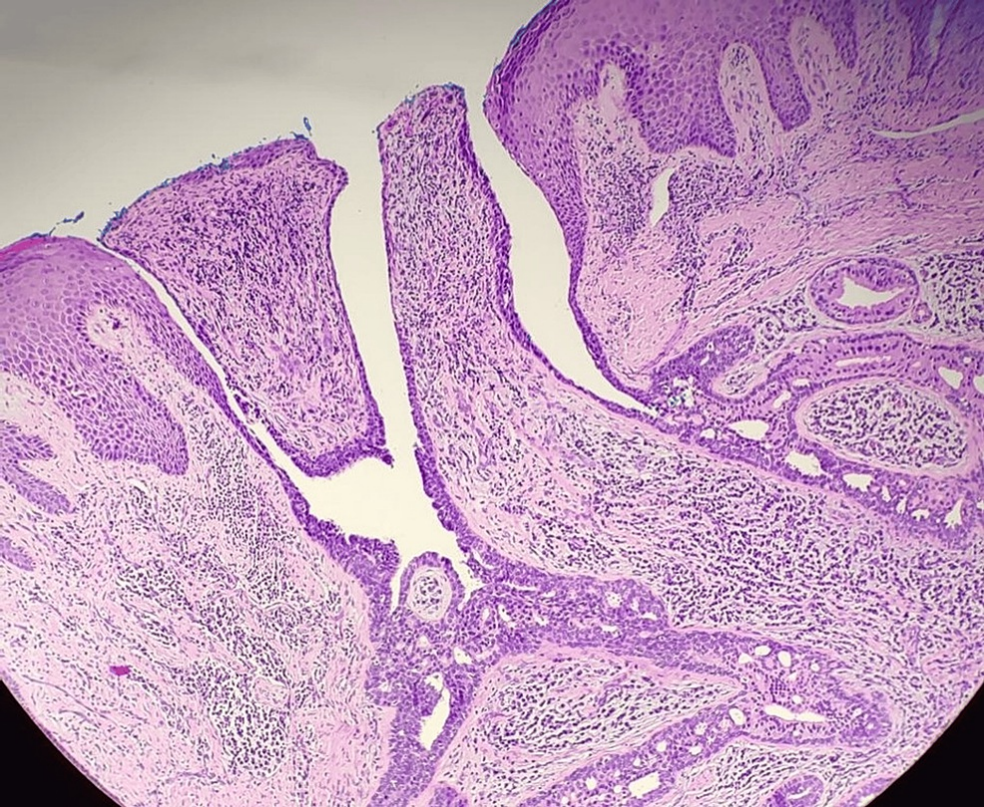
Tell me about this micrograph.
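This is a low-power view of skin in which thick, pink-purple stratified squamous epidermis at the upper right and left dips down into a lesion in the dermis. At the centre, a cleft opens from the surface, and finger-like projections with stromal cores rise into it. The lining of the cleft and projections is a thin, darker purple epithelium, much thinner than the surrounding squamous epidermis. In the lower and right parts, many small tubular and gland-like spaces are lined by cuboidal epithelial cells. The cores of the projections and the surrounding stroma are crowded with many small, dark, round nuclei set in pale pink connective tissue.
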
